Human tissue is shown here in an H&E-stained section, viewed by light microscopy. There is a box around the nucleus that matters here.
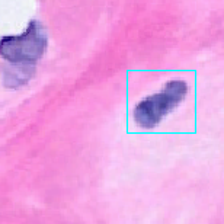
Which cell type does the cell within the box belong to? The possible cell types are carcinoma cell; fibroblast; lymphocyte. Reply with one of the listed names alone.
lymphocyte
